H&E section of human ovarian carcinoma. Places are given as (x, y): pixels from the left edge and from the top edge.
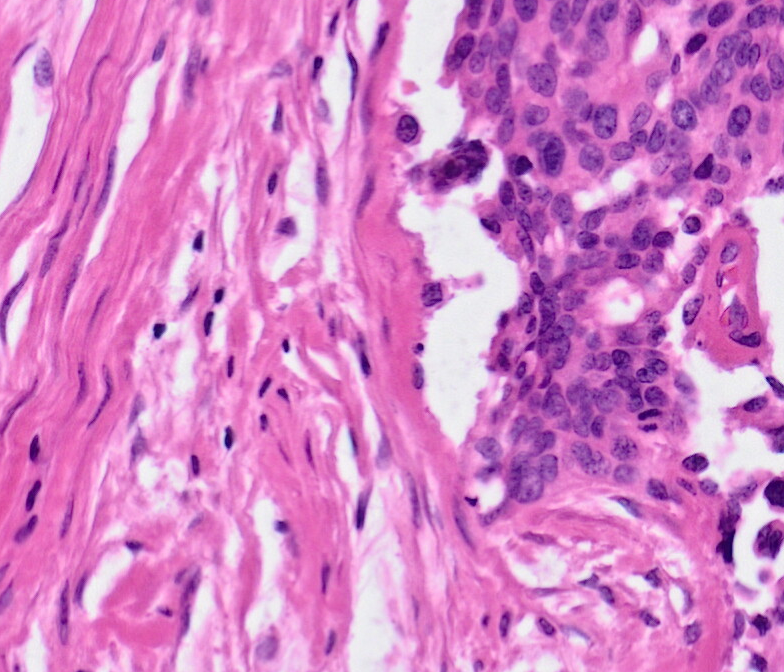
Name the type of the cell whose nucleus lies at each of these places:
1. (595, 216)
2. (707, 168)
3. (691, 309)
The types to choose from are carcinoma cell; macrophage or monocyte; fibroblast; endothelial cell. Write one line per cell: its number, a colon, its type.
1: carcinoma cell
2: carcinoma cell
3: macrophage or monocyte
